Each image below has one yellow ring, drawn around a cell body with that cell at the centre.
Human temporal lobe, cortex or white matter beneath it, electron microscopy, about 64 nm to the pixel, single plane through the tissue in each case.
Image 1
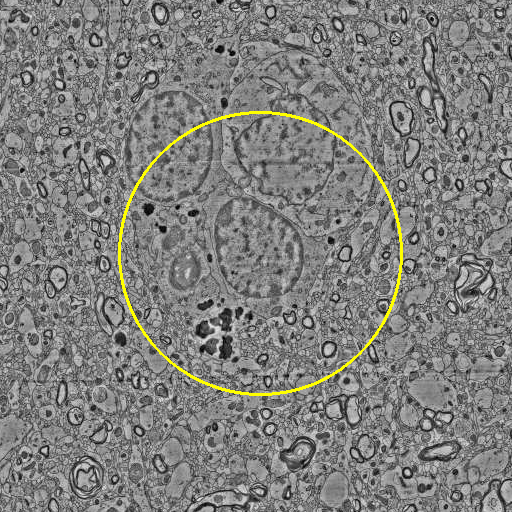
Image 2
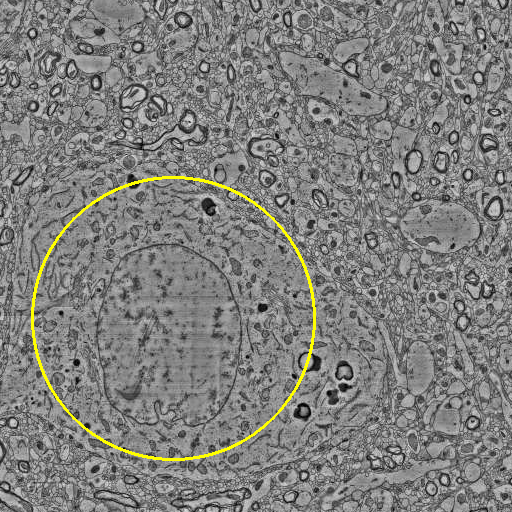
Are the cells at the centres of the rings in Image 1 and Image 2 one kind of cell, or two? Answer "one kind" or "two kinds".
two kinds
